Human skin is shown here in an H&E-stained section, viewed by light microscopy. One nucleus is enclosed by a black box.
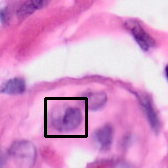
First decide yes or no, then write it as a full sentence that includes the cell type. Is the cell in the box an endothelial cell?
Yes, it is accurate to say that the cell in the box is an endothelial cell.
